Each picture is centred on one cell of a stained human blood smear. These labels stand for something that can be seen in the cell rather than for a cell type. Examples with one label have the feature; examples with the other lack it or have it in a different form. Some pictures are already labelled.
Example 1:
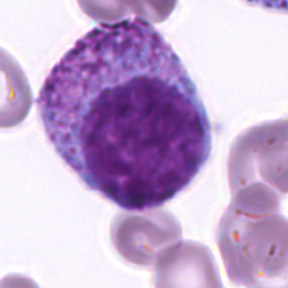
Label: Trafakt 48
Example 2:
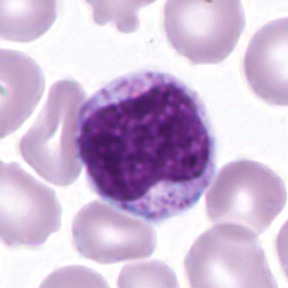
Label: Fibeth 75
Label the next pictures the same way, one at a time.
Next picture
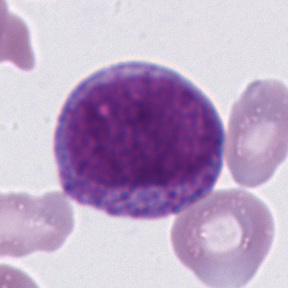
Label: Fibeth 75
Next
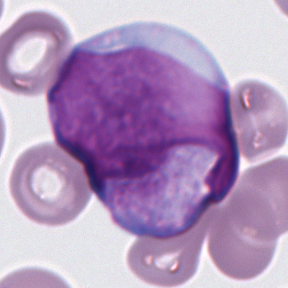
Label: Fibeth 75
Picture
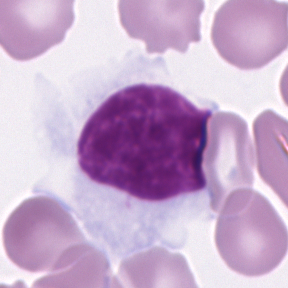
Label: Trafakt 48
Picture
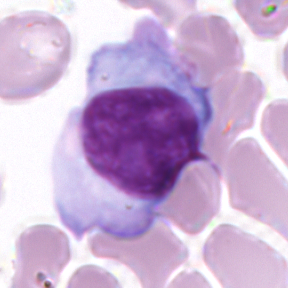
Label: Trafakt 48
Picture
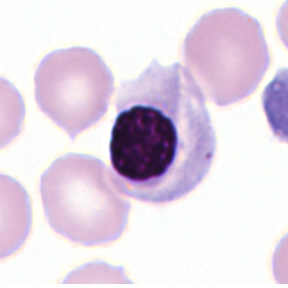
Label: Trafakt 48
